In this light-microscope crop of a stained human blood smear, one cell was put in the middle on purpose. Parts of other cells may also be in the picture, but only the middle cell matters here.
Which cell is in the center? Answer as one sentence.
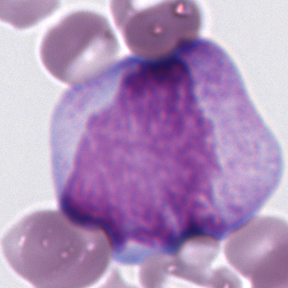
The cell sitting right in the middle is an atypical promyelocyte.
